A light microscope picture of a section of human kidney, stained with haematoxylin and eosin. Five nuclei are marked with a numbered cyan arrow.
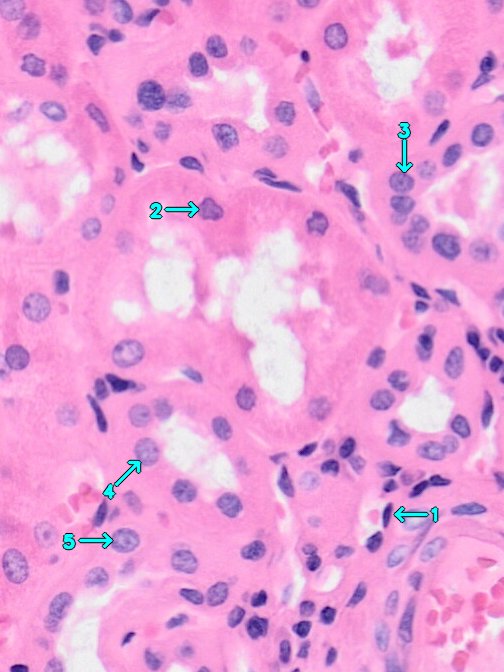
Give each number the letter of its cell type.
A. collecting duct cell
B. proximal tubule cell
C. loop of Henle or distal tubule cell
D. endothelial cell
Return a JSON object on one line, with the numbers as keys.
{"1": "D", "2": "B", "3": "A", "4": "C", "5": "A"}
